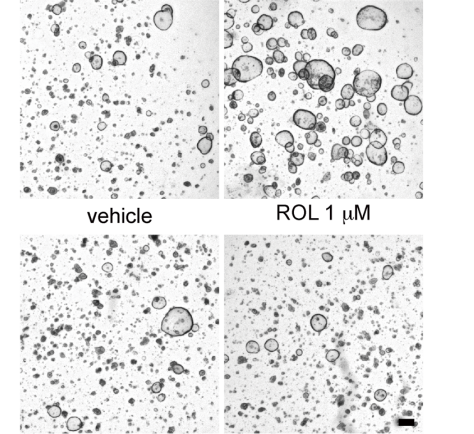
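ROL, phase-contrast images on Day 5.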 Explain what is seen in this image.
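Small dense clusters and debris are strewn between the spheres. One field holds far more large cystic spheres than the other three, where small dark bodies dominate and only a few large cysts are seen. Single cells within the walls cannot be made out at this magnification.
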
